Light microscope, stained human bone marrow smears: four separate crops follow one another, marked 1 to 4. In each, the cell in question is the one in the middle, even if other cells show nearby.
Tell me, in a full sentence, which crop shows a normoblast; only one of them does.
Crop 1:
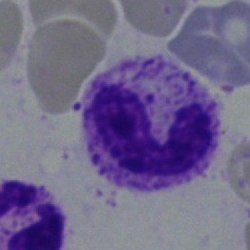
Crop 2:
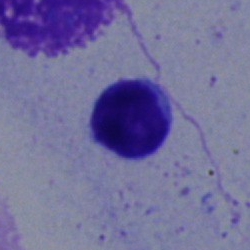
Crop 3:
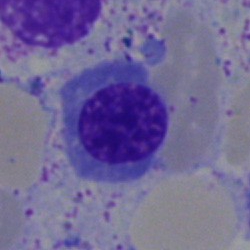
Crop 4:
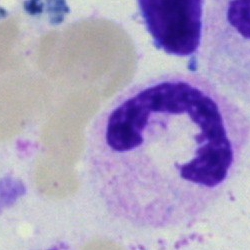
Among the crops given, only crop 3 shows a normoblast.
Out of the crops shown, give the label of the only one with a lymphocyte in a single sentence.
Selected crop: 2, which is the one that shows a lymphocyte.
